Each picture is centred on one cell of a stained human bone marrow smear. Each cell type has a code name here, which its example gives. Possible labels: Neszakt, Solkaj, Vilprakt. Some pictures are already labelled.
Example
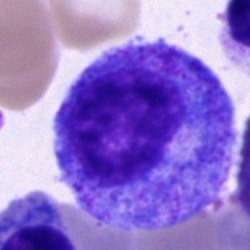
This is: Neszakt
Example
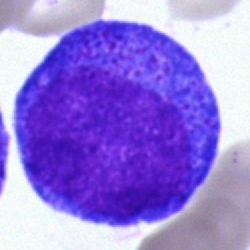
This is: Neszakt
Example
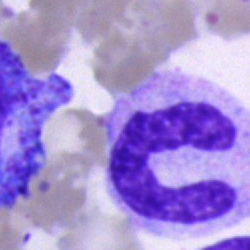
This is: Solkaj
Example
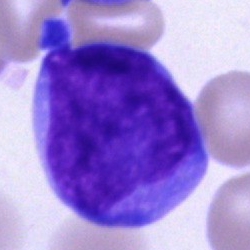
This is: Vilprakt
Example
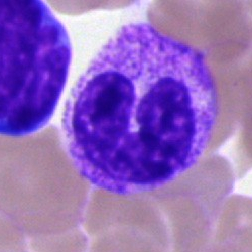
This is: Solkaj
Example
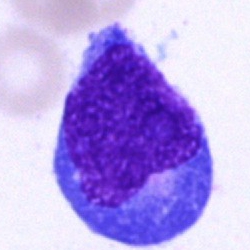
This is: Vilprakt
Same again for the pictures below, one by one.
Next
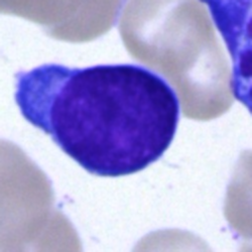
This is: Vilprakt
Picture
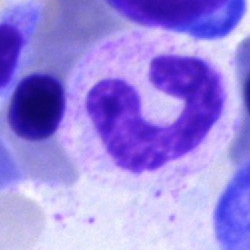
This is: Solkaj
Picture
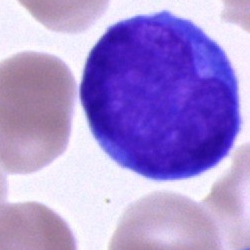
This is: Vilprakt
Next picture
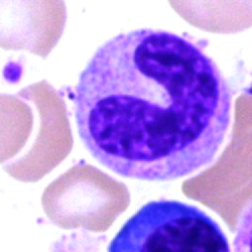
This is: Solkaj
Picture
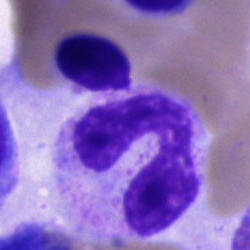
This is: Solkaj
